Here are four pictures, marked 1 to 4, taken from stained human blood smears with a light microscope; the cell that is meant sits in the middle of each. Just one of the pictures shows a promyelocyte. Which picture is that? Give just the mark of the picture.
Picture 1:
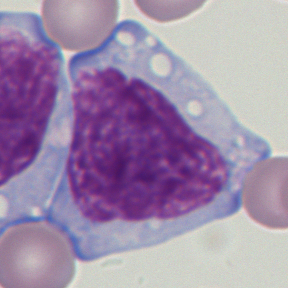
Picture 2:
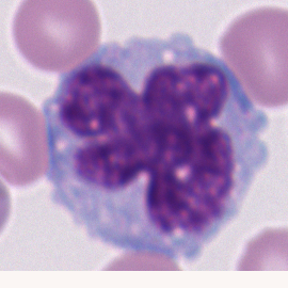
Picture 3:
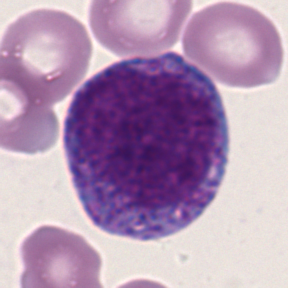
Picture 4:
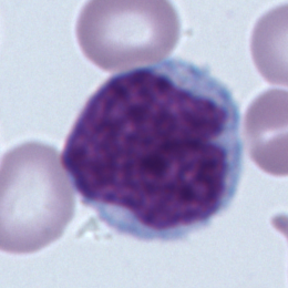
3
